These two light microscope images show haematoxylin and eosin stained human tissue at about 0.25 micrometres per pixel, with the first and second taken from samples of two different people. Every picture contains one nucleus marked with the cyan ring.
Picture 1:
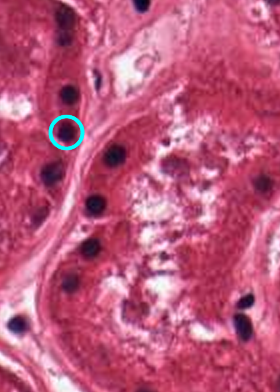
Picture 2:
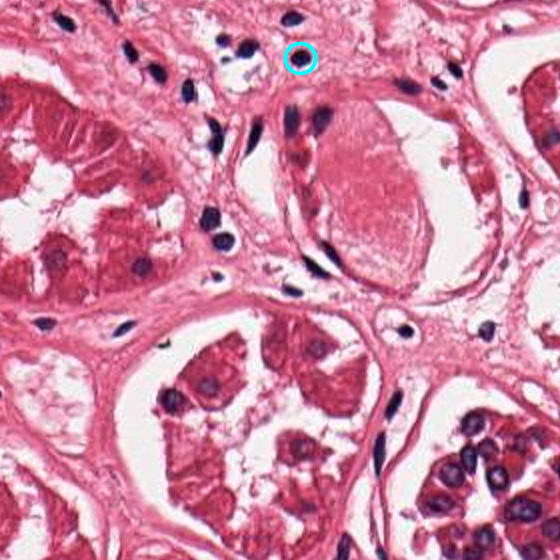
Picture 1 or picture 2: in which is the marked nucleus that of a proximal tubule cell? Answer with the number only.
1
